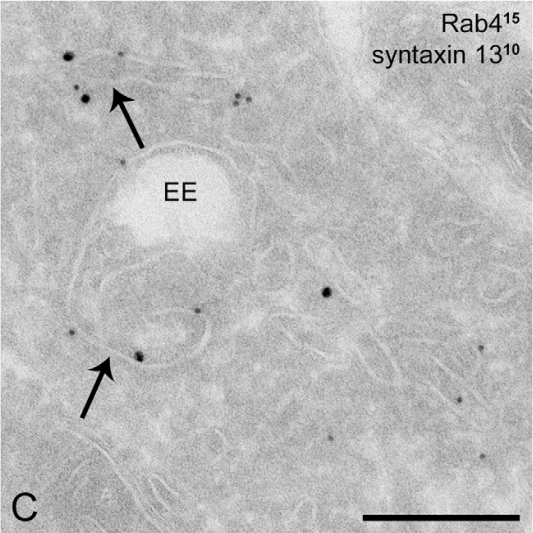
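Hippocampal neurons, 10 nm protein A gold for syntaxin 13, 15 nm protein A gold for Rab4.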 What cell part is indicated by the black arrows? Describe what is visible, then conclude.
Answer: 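The arrows point at clusters of gold particles of two sizes on thin membrane profiles. The labelled profiles lie close to a round pale vacuole. That points to this answer: tubular endosomal membrane.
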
